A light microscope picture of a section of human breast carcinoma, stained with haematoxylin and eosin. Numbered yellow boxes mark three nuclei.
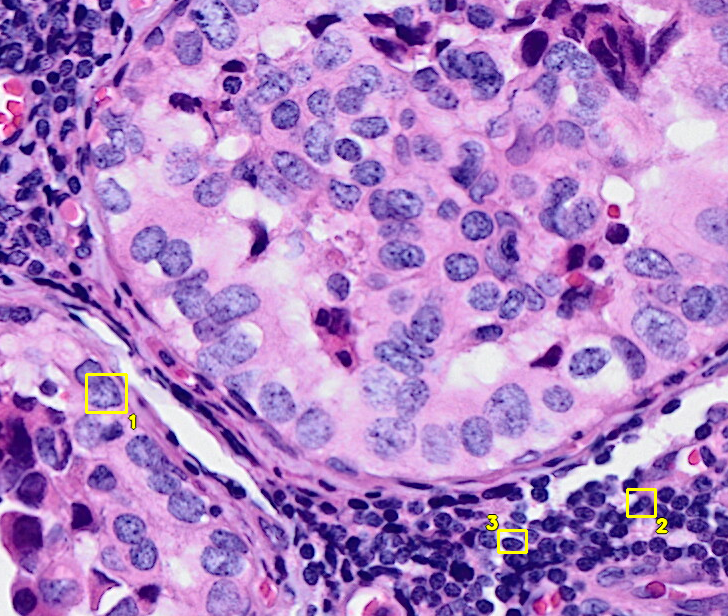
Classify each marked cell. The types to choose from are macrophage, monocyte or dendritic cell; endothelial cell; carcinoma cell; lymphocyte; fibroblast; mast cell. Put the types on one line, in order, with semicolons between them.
carcinoma cell; lymphocyte; lymphocyte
